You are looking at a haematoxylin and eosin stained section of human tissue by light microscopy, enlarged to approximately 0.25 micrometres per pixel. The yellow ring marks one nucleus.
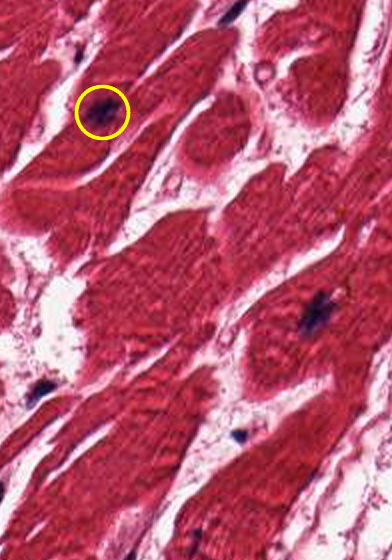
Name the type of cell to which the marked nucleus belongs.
cardiomyocyte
